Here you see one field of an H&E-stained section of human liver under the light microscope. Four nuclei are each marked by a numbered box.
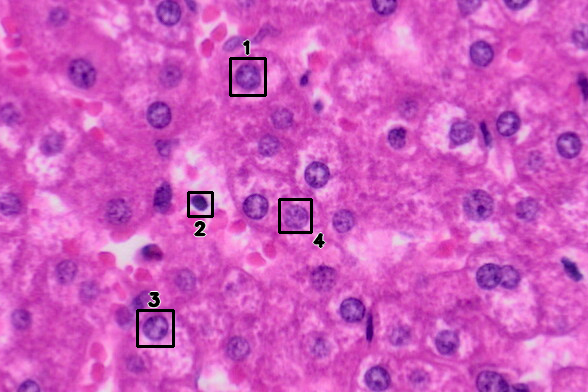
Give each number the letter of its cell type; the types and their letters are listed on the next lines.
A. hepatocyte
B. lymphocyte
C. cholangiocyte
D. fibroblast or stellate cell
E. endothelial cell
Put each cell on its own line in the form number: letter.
1: A
2: B
3: A
4: A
